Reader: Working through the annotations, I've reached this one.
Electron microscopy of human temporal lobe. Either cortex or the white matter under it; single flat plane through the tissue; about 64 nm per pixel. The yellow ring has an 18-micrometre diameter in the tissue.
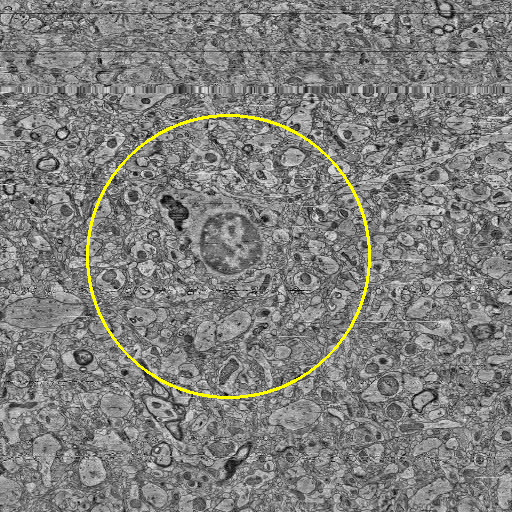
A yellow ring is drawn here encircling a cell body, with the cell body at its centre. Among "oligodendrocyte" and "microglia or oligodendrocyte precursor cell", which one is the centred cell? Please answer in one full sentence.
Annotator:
The cell body at the centre of the yellow ring in this image belongs to an oligodendrocyte.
